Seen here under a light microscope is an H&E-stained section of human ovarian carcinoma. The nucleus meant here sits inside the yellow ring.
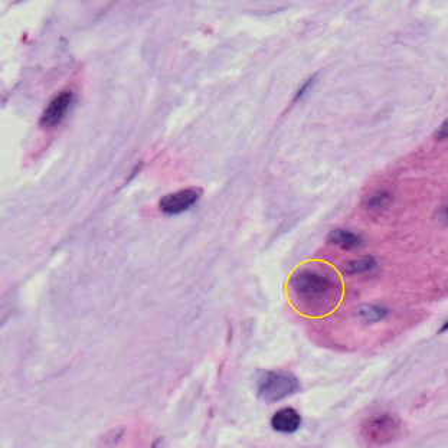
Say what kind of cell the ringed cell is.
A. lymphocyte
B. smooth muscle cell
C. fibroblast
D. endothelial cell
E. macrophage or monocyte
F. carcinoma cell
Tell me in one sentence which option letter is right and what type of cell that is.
Option B stands as correct, with the ringed cell being a smooth muscle cell.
